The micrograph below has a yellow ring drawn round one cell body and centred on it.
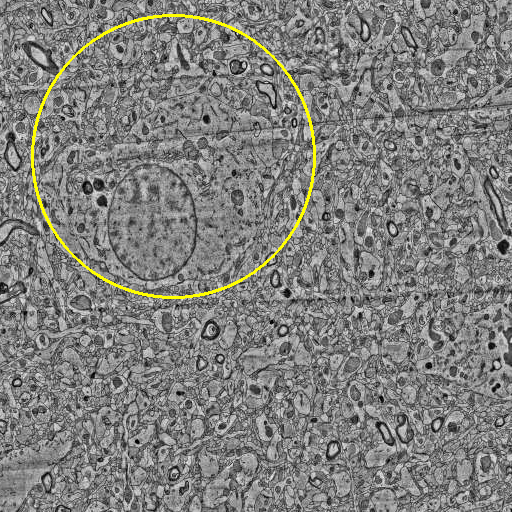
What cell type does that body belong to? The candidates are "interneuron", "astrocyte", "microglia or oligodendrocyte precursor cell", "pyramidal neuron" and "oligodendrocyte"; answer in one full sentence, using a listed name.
This is a pyramidal neuron, the cell whose body lies at the centre of the ring.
